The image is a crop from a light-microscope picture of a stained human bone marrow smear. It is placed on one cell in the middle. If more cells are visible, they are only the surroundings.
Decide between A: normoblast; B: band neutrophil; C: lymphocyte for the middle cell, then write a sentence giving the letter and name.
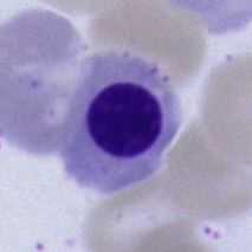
Since the middle cell is a normoblast, option A is the right one.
